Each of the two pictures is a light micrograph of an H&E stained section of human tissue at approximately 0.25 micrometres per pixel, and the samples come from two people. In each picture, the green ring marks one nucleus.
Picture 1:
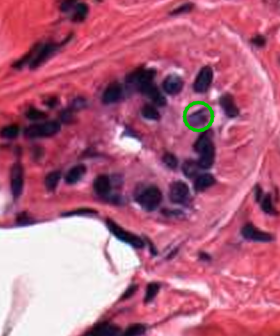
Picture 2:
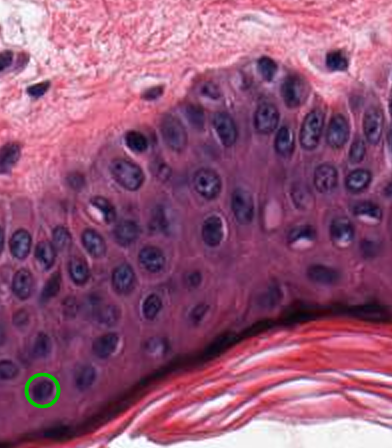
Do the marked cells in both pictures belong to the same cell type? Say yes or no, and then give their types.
No, the first is a sweat gland cell and the second a keratinocyte.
